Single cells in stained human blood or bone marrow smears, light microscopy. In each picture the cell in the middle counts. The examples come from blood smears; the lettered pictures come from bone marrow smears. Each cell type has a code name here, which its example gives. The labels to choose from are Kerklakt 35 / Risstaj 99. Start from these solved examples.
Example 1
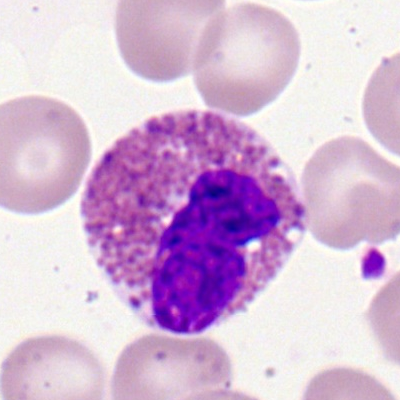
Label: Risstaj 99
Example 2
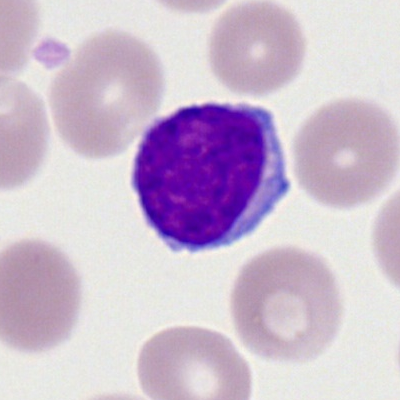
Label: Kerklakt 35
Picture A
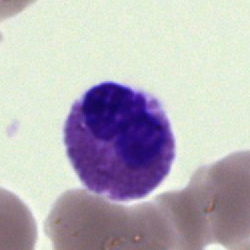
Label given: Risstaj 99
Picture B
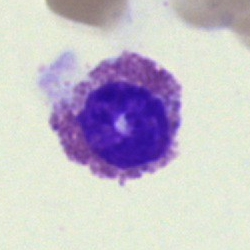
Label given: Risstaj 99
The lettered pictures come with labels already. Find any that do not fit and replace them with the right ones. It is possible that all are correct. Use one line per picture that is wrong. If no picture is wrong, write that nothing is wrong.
None of the labels needs changing.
